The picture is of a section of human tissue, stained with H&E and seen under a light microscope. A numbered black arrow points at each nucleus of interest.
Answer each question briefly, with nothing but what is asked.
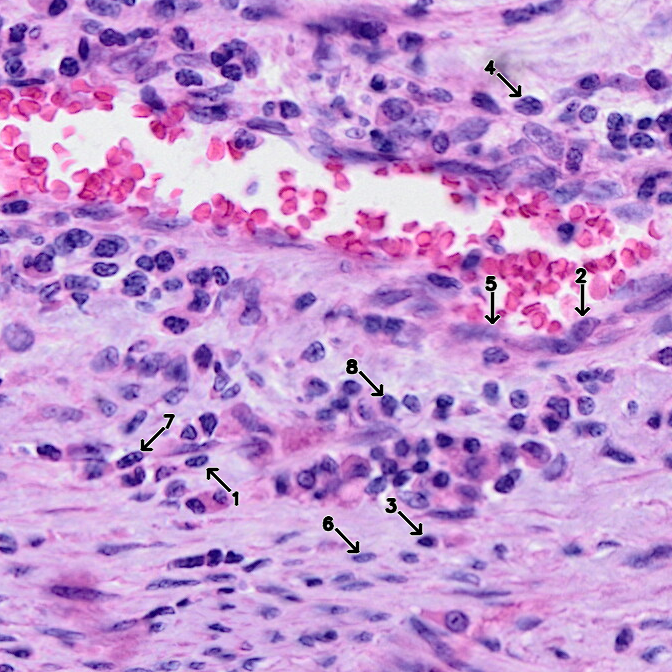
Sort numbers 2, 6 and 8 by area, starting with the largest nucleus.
2, 8, 6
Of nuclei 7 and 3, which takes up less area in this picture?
3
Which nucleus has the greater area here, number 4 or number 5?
4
